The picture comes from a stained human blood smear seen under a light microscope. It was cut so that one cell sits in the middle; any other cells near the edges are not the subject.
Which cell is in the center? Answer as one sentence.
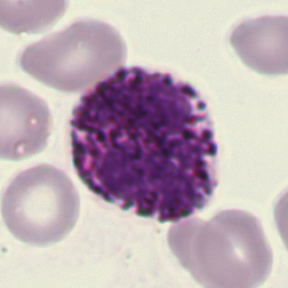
The cell featured at the centre of this crop is a basophil.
